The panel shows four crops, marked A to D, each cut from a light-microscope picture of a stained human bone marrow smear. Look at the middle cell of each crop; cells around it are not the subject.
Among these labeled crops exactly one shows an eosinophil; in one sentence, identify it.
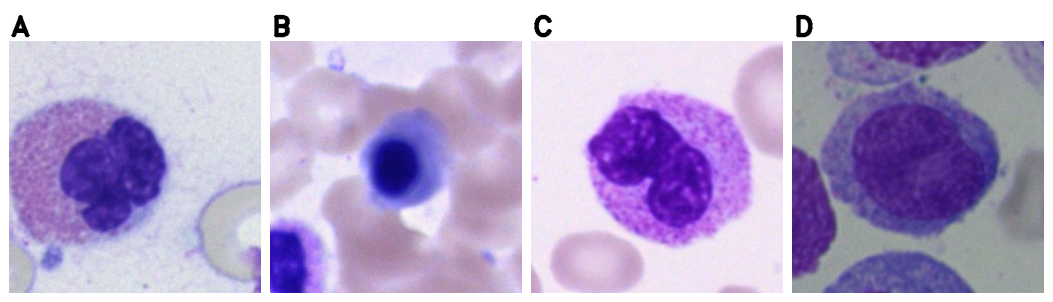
Crop A is the single crop that shows an eosinophil.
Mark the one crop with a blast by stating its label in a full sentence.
It is in crop D, among all the crops, that a blast is present.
